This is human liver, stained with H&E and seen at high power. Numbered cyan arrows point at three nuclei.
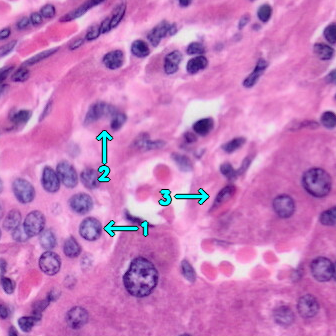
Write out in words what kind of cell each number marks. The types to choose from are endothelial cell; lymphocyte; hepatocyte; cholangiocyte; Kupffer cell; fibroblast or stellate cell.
Cell 1 is a cholangiocyte. Cells 2 and 3 are fibroblasts or stellate cells.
